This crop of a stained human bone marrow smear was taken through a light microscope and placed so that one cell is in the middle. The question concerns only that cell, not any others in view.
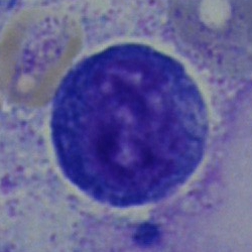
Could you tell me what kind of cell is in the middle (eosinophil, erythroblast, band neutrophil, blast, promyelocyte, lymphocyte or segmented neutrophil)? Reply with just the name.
promyelocyte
